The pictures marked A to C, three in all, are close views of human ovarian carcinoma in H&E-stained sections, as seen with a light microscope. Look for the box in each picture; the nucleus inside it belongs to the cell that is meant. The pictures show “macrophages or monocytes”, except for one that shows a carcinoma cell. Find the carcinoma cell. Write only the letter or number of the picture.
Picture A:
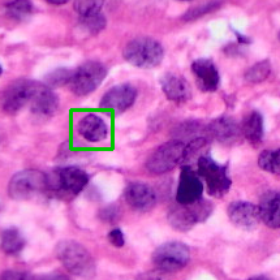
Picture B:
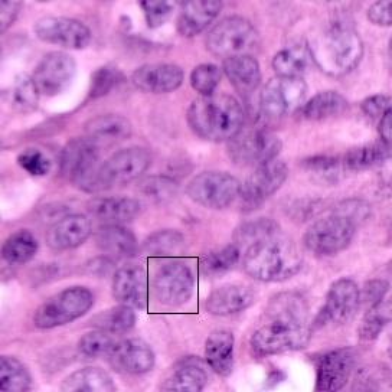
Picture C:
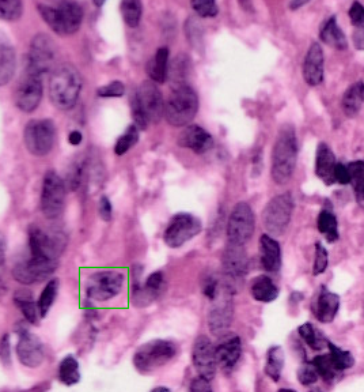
B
